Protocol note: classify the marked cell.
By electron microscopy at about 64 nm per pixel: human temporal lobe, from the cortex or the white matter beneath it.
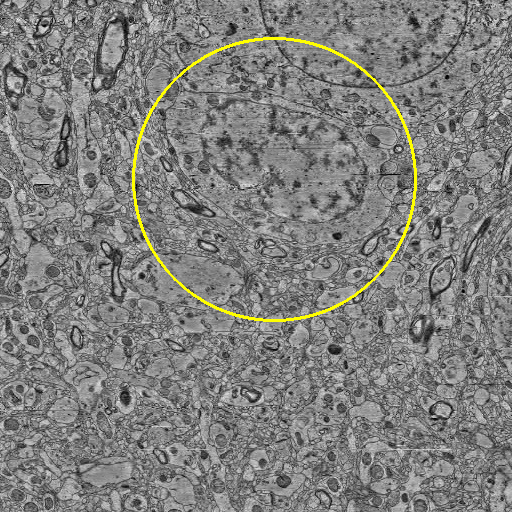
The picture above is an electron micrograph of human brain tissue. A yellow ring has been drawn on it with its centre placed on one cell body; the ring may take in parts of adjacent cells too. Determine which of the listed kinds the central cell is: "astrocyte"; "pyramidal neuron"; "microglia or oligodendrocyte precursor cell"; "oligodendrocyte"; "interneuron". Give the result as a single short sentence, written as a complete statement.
The central cell is an interneuron.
